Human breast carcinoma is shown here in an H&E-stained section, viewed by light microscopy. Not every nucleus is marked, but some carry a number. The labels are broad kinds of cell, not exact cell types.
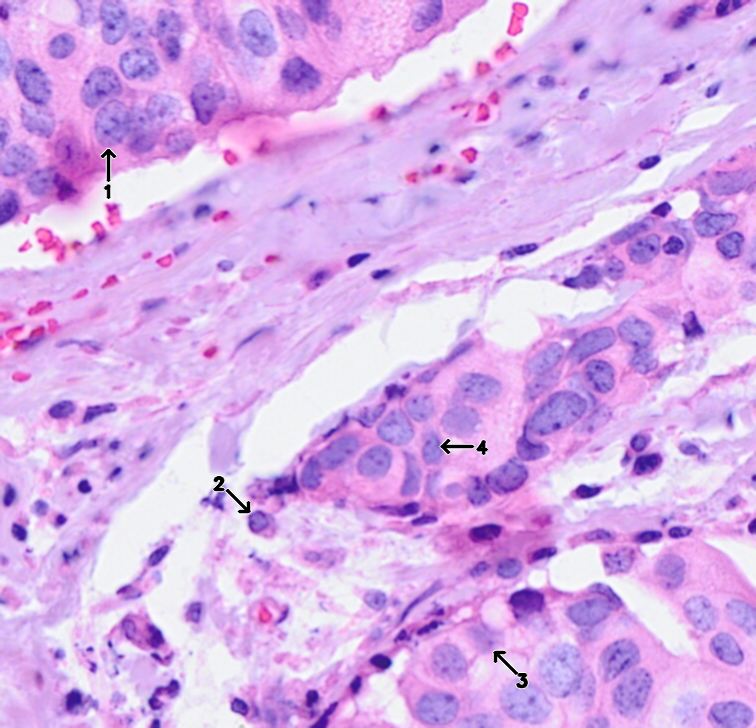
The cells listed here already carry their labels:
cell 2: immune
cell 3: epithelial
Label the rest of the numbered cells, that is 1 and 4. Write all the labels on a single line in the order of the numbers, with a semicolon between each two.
epithelial; epithelial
